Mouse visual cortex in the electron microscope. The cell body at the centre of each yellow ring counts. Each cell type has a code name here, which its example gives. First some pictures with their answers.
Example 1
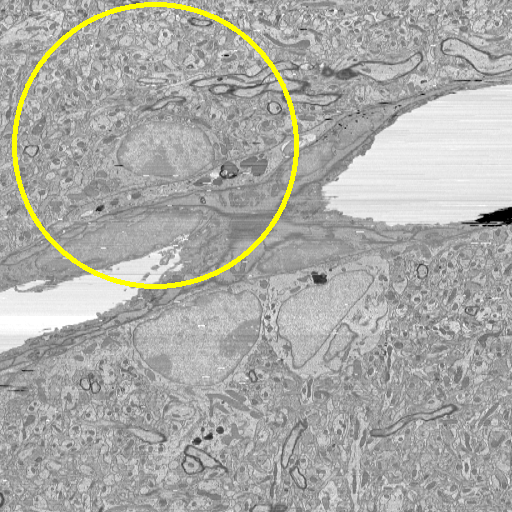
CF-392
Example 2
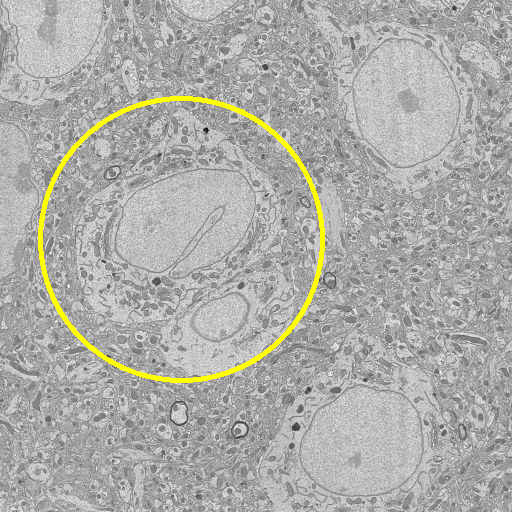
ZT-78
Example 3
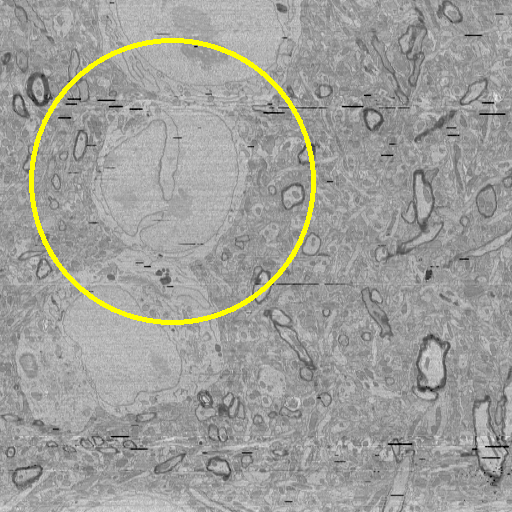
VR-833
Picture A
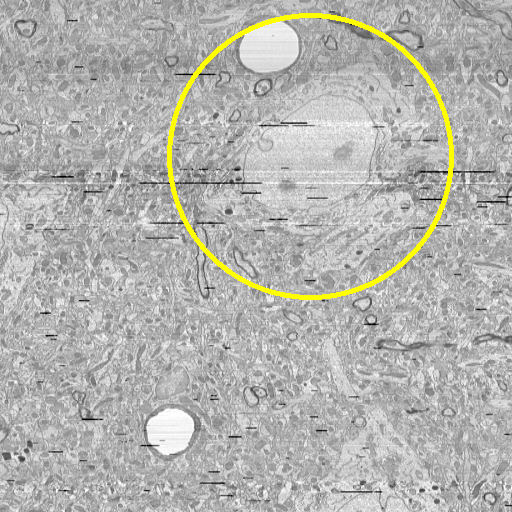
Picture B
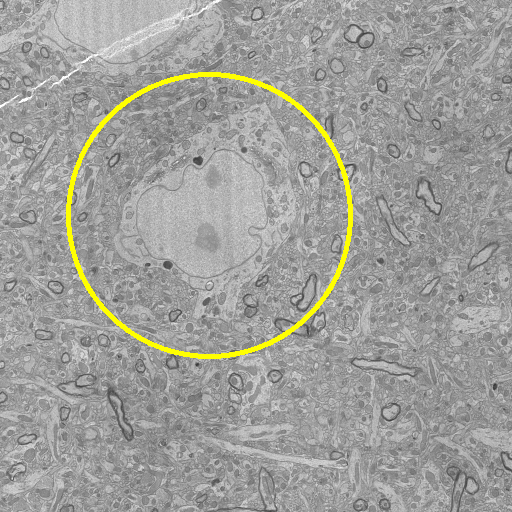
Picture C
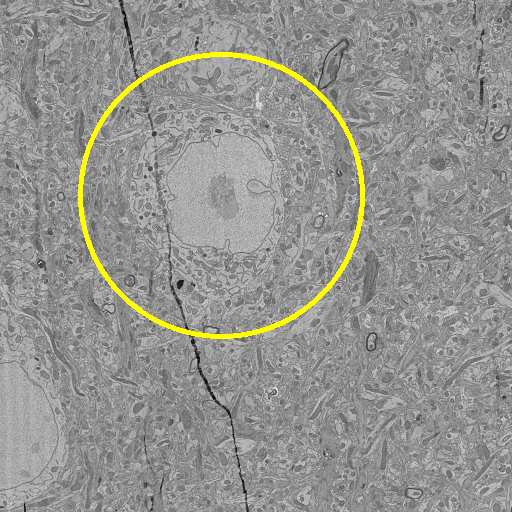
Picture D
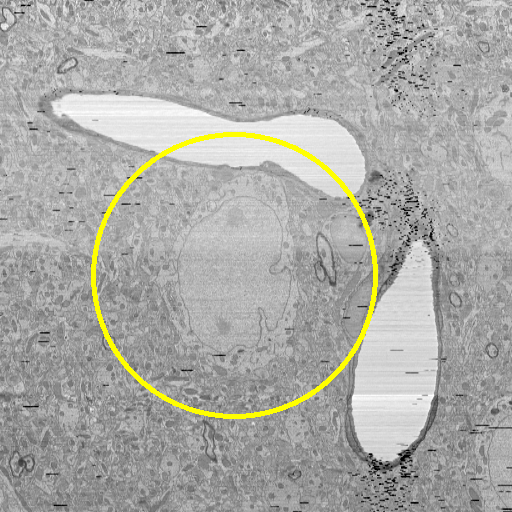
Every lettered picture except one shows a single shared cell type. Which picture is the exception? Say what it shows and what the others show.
Different: C, ZT-78. Others: VR-833.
